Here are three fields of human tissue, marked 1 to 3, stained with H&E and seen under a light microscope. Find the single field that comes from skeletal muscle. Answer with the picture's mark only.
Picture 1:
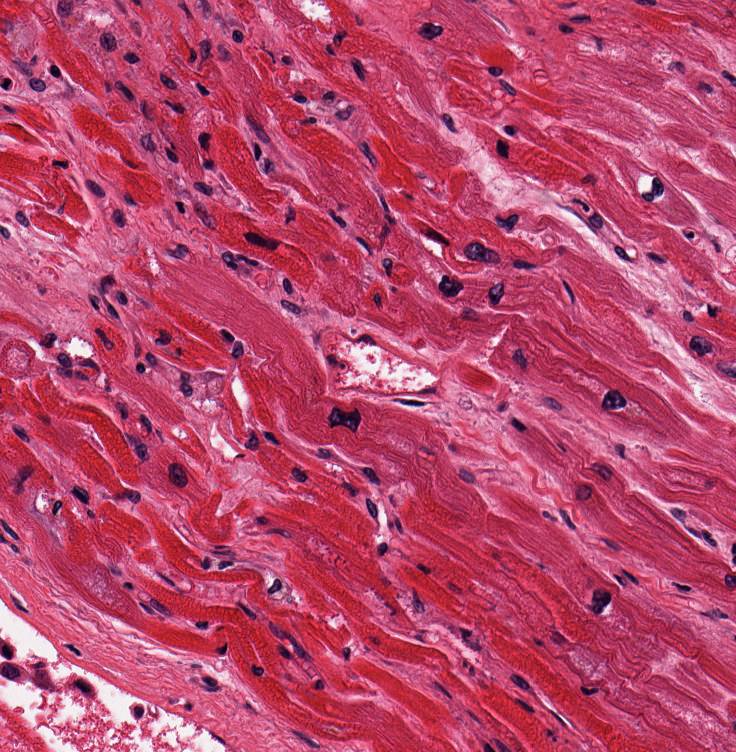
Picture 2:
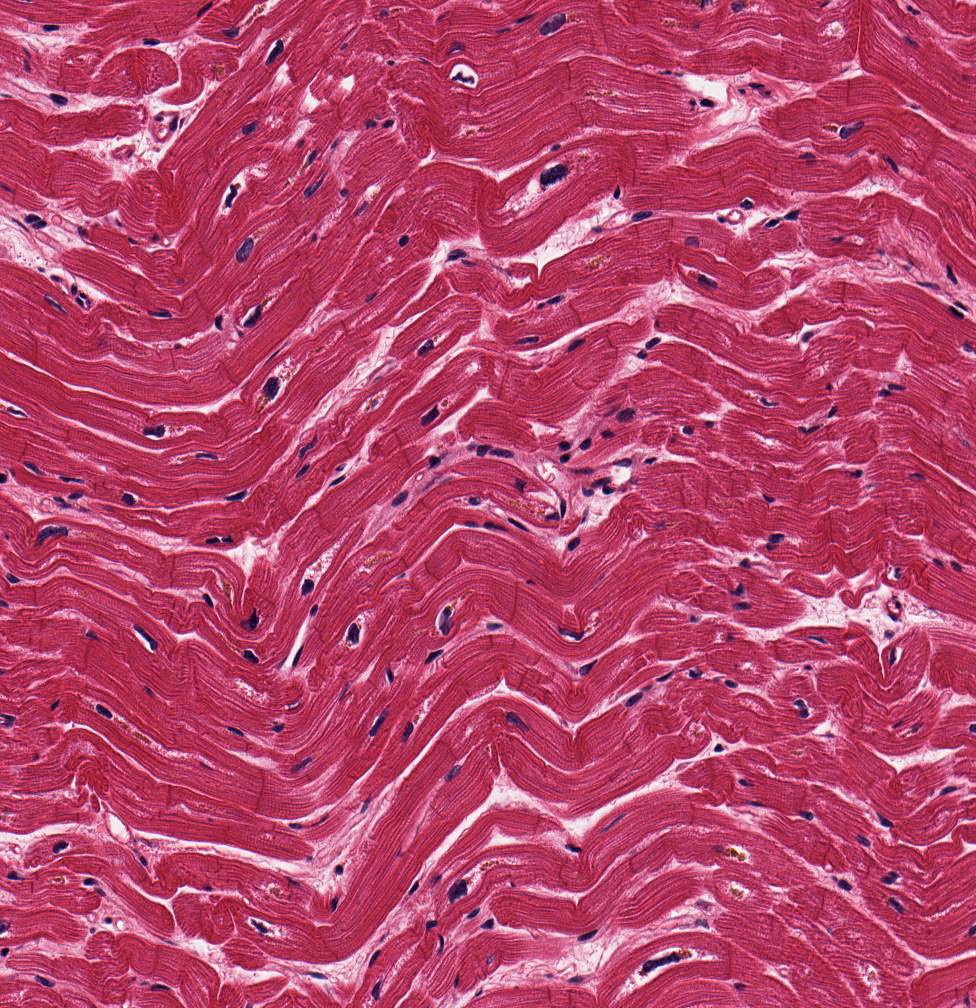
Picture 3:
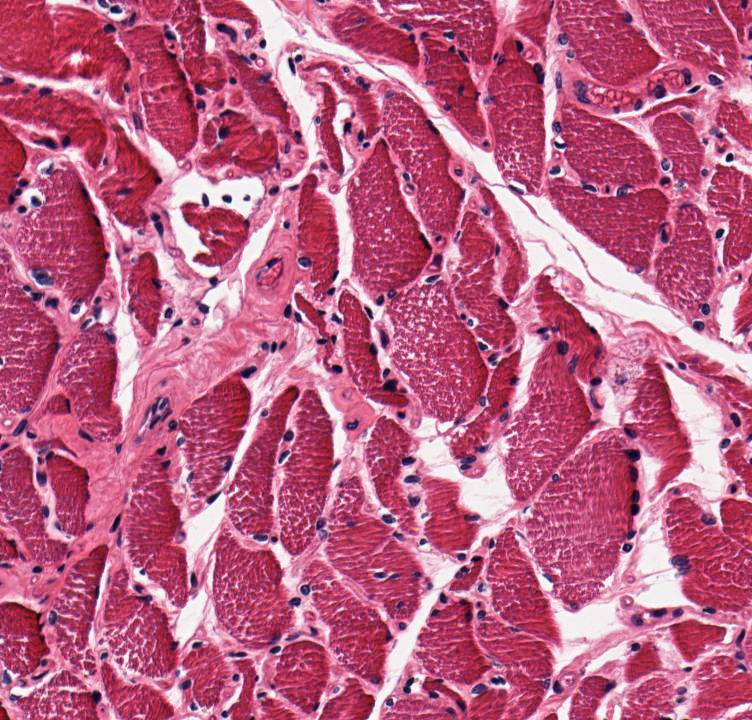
3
